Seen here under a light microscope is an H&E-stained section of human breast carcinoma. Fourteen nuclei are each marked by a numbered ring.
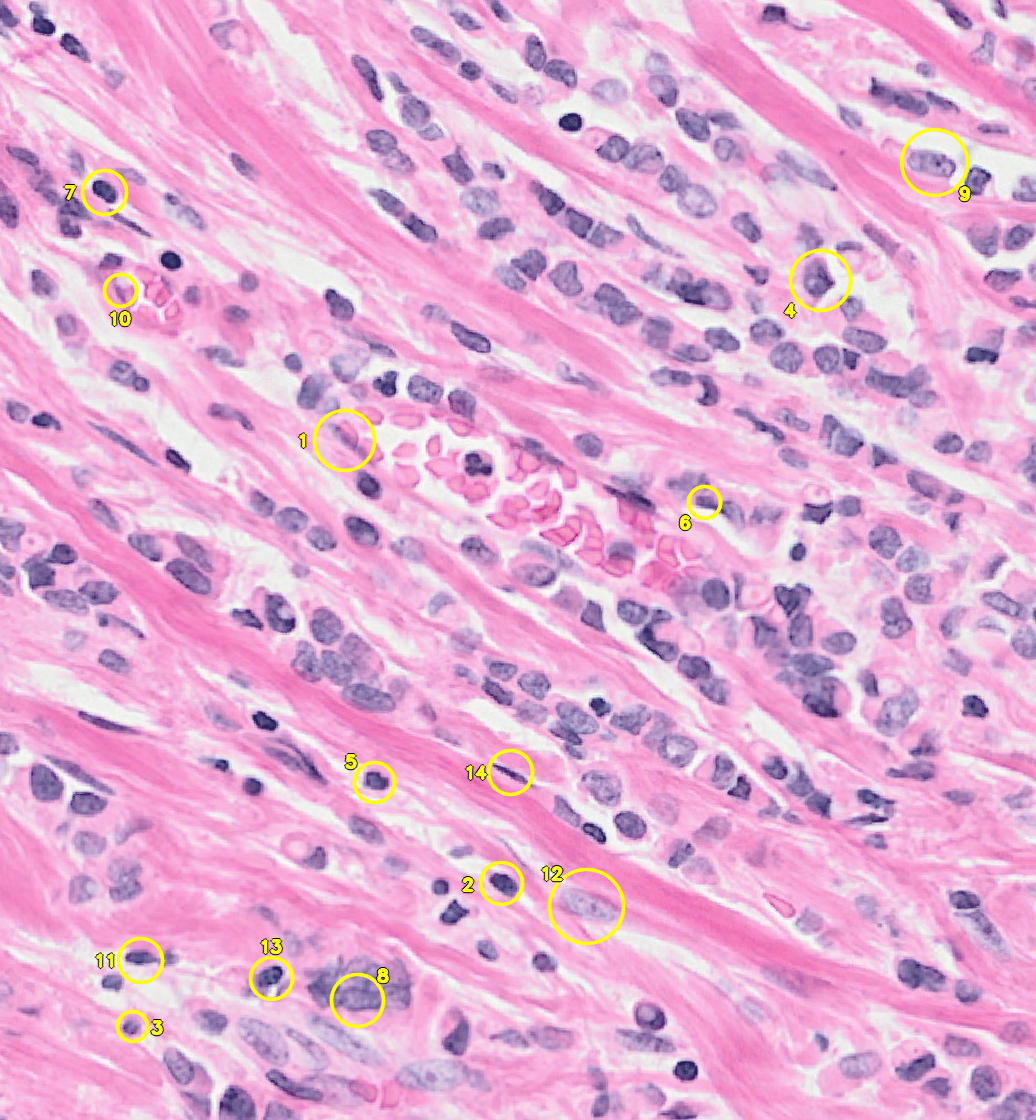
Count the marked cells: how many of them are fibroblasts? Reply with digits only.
2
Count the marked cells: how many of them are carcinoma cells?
3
